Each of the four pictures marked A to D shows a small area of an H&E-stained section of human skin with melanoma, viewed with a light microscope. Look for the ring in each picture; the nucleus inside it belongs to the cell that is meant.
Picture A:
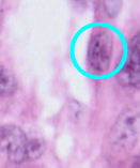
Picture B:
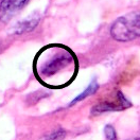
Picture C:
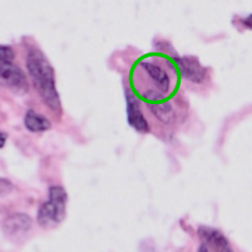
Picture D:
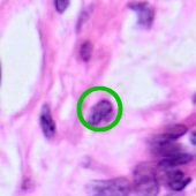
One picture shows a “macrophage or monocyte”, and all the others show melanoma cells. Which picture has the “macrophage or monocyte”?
D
